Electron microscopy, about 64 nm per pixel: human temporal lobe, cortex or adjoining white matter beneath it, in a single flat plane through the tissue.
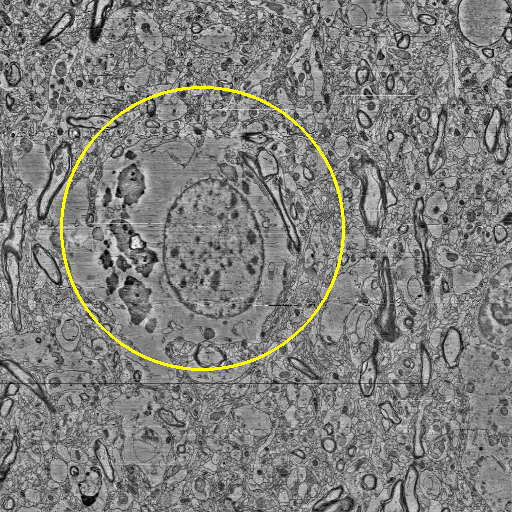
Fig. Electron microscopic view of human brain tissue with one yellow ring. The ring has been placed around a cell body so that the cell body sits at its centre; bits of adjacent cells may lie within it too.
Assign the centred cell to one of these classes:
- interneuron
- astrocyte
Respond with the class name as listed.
astrocyte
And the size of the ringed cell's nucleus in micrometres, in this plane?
Approximately 9 x 7 micrometres in this plane.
